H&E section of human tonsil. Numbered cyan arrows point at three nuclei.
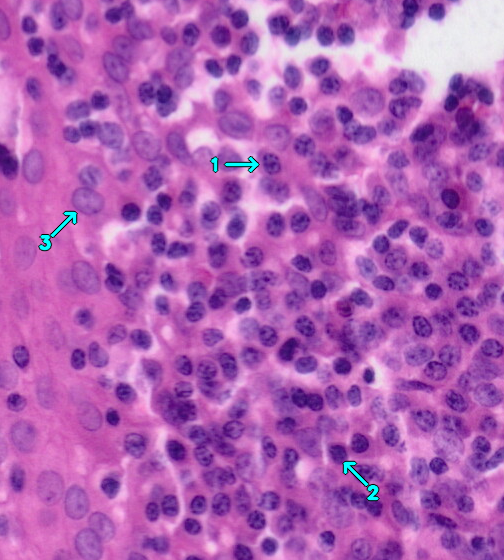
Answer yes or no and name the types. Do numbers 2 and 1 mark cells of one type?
Yes, just like cell 2, cell 1 is one of the plasma cells.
